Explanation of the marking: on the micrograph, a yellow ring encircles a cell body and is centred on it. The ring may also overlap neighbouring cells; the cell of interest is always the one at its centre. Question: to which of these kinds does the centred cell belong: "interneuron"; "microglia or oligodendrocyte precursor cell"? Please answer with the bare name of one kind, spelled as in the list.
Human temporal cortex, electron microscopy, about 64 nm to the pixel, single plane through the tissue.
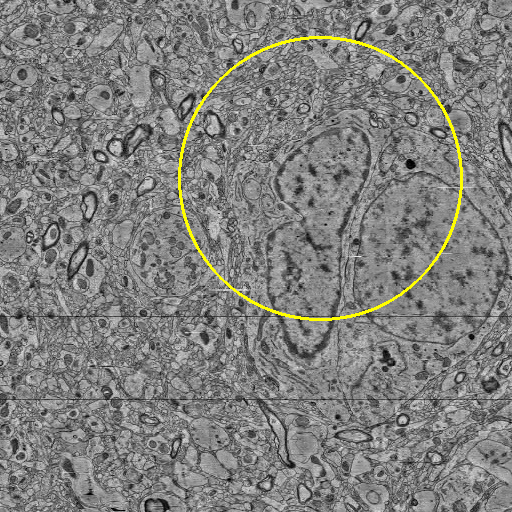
microglia or oligodendrocyte precursor cell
